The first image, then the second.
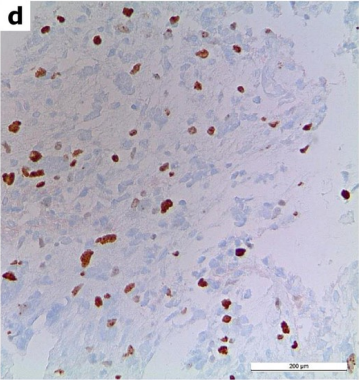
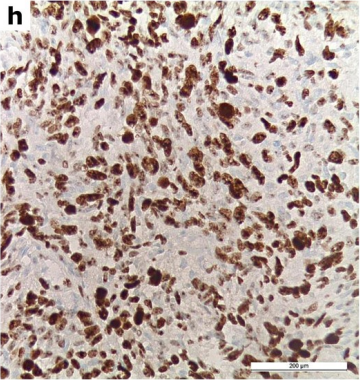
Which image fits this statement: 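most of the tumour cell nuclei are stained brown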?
the second image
